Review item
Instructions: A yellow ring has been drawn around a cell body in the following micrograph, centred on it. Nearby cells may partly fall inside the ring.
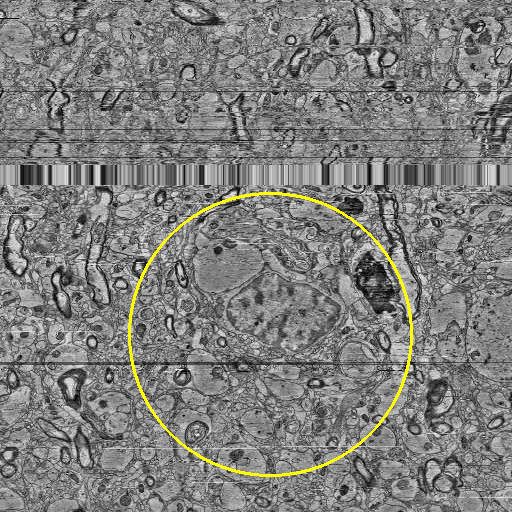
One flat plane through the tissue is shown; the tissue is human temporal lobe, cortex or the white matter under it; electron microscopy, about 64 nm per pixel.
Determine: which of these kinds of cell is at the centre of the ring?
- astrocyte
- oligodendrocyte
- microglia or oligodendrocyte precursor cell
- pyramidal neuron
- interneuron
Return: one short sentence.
The cell body in the middle of the ring is that of an oligodendrocyte.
